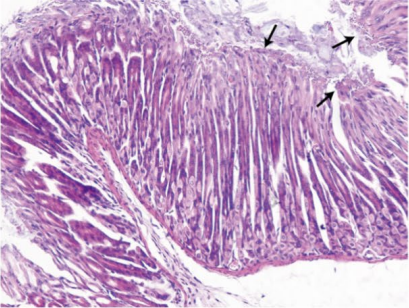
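This is a section of gastric mucosa made of long, slender tubular glands that run in parallel toward the surface at the top of the field. The glands are lined by cells with small purple nuclei and pink cytoplasm, and narrow clefts separate neighbouring glands. Near the surface, loose pale material with scattered debris lies over the mucosa, and black arrows point into this surface region. The glands appear more stretched and separated by clefts than in a compact mucosa.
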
